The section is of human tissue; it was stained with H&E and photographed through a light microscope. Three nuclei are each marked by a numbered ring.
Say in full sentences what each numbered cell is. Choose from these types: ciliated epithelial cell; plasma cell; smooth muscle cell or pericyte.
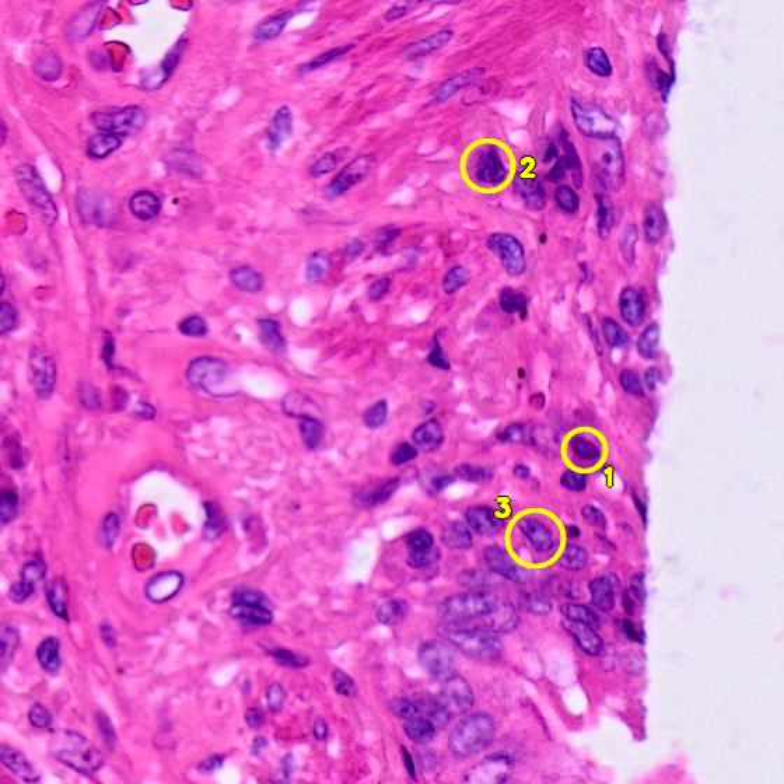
Cell 1 is a plasma cell, cell 2 is a plasma cell and cell 3 is a ciliated epithelial cell.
